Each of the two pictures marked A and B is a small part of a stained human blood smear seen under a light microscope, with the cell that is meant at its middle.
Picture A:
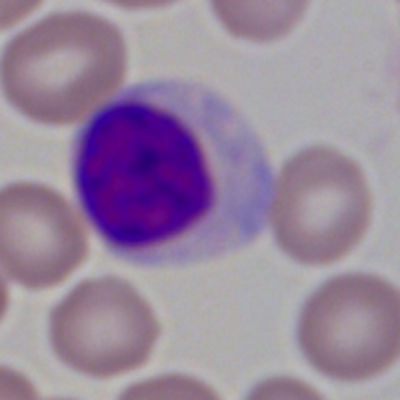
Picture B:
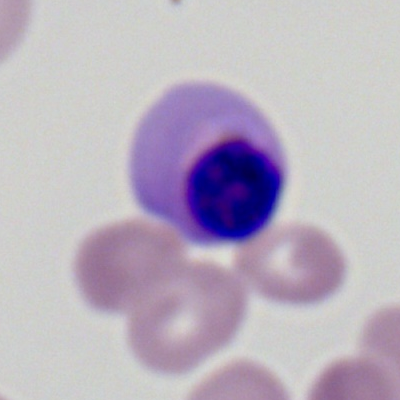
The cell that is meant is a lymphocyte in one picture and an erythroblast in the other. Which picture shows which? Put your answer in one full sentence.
In picture A the cell is a lymphocyte; in picture B, an erythroblast.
